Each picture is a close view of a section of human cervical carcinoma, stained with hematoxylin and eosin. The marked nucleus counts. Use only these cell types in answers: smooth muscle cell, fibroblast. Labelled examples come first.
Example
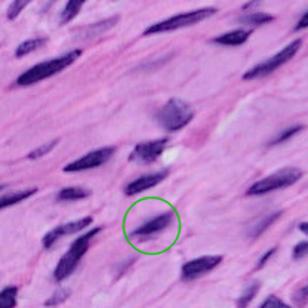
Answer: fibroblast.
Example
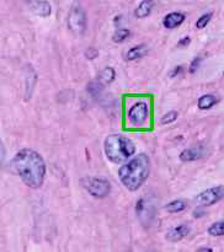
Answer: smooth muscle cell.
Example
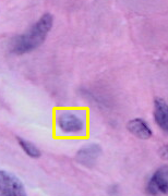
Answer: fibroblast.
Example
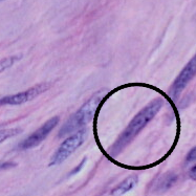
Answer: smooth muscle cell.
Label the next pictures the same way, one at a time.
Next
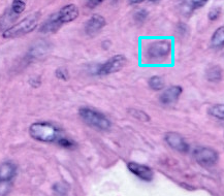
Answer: smooth muscle cell.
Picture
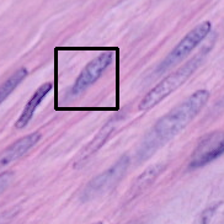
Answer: smooth muscle cell.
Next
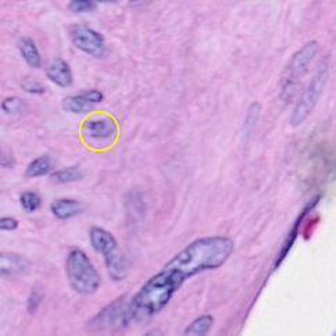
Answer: smooth muscle cell.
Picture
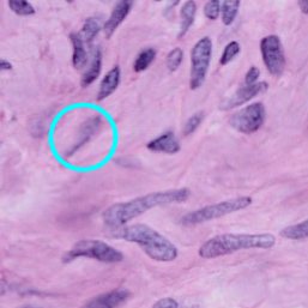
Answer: fibroblast.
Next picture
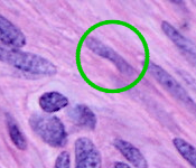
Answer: smooth muscle cell.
